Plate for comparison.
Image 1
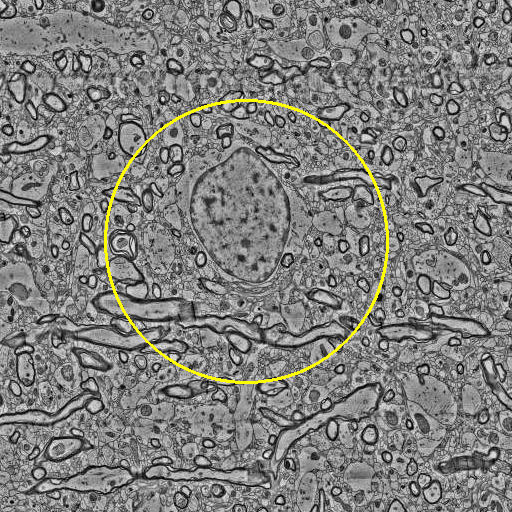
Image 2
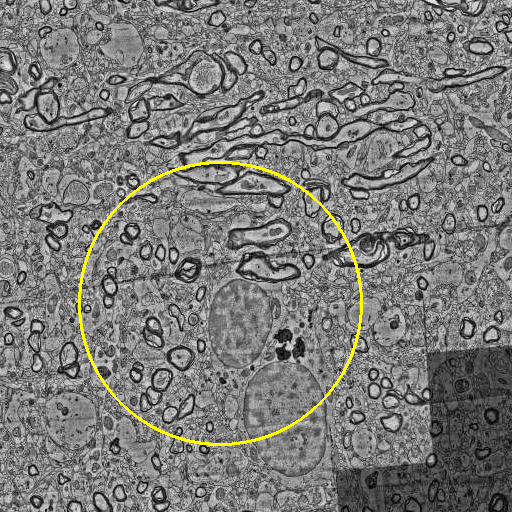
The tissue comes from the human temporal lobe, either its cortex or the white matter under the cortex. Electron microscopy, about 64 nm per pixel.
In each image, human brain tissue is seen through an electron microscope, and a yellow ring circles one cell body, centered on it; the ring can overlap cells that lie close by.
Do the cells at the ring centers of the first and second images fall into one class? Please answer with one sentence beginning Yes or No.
No, the first and second images show two classes of cell at the ring centers.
